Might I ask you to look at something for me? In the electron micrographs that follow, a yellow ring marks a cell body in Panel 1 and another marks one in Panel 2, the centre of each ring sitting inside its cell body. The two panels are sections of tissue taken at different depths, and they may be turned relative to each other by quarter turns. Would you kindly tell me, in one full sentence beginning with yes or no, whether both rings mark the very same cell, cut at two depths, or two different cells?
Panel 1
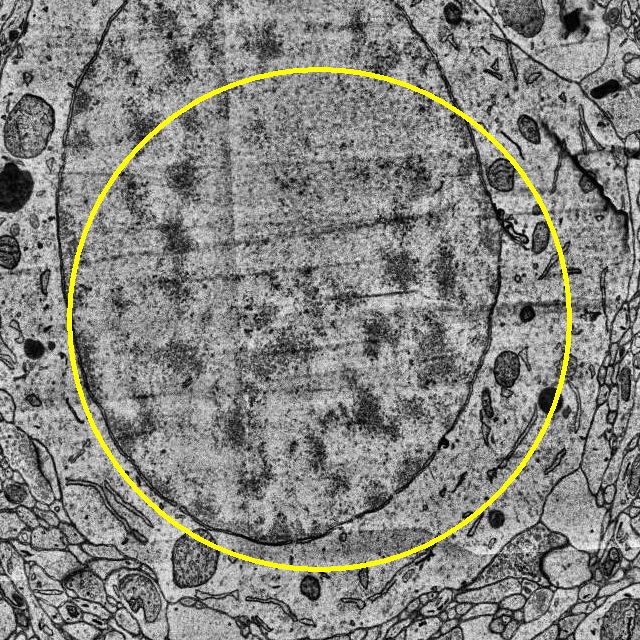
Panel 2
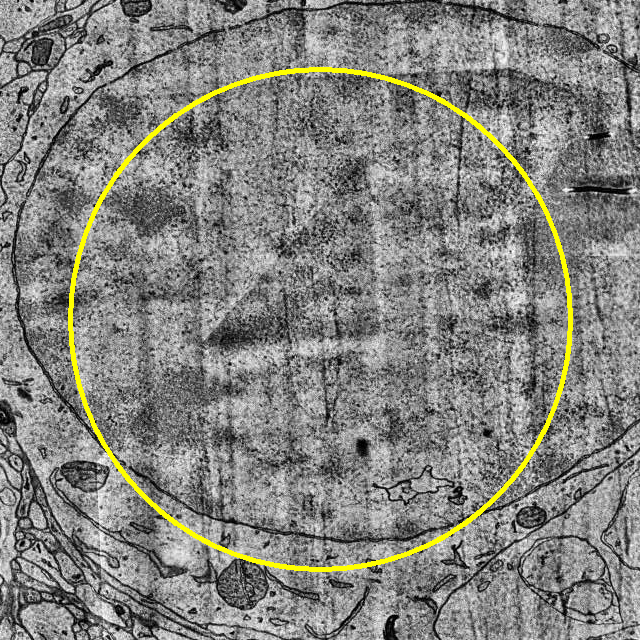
Yes, one single cell is under each of the two rings.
